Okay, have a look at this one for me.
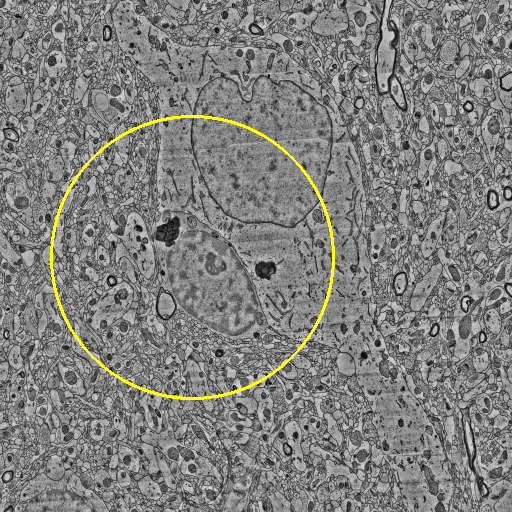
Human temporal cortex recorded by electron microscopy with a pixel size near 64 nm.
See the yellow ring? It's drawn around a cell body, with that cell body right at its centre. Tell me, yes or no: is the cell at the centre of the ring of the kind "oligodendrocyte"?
Yes, it is of that kind.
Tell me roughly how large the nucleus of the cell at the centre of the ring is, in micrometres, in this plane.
The nucleus appears roughly 7 by 5 micrometres in this plane.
